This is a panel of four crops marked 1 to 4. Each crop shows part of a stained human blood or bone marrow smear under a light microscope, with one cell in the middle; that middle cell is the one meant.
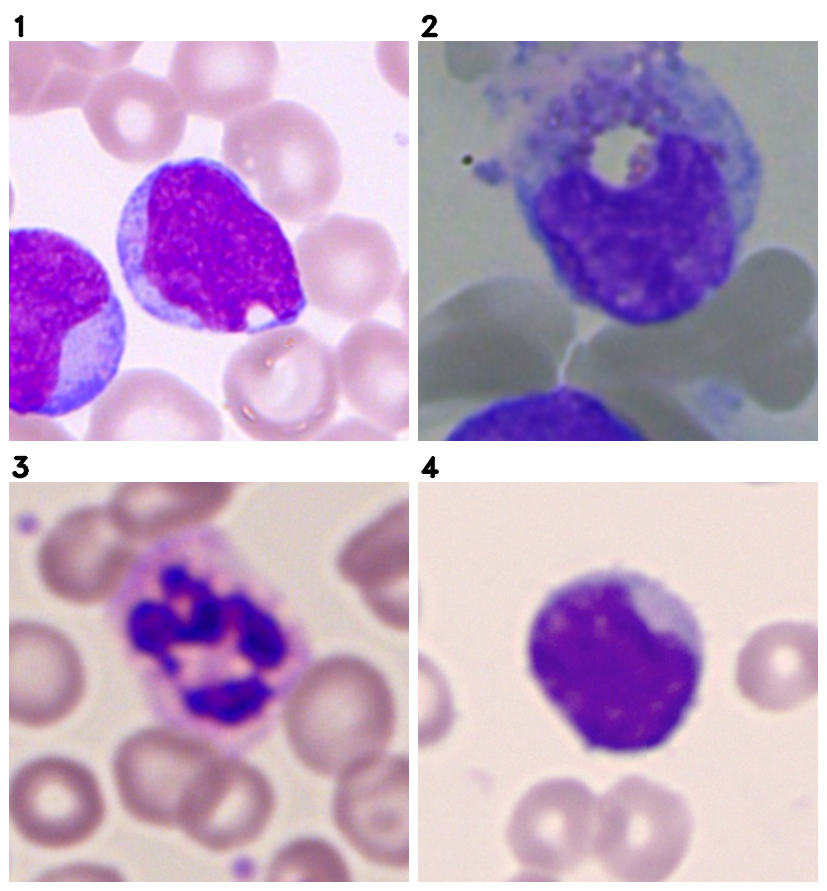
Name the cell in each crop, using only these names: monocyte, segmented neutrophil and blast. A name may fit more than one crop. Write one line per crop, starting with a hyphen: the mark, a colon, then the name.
- 1: blast
- 2: monocyte
- 3: segmented neutrophil
- 4: blast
